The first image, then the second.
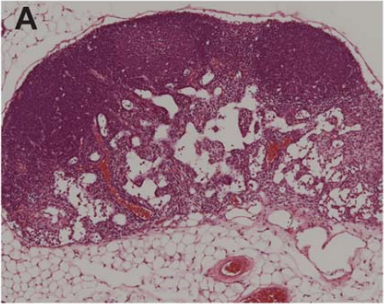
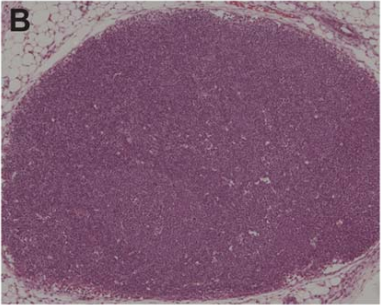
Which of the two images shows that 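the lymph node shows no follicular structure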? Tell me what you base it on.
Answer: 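The second image. Second image: the node is filled by a uniform sheet of cells without distinct compartments. First image: a dense outer cortex is distinct from a paler central region with open spaces.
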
